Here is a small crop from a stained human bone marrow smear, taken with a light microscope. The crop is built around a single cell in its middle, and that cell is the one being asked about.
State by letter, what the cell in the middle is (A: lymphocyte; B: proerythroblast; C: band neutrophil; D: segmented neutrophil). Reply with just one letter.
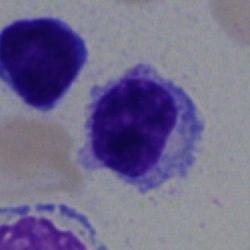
A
